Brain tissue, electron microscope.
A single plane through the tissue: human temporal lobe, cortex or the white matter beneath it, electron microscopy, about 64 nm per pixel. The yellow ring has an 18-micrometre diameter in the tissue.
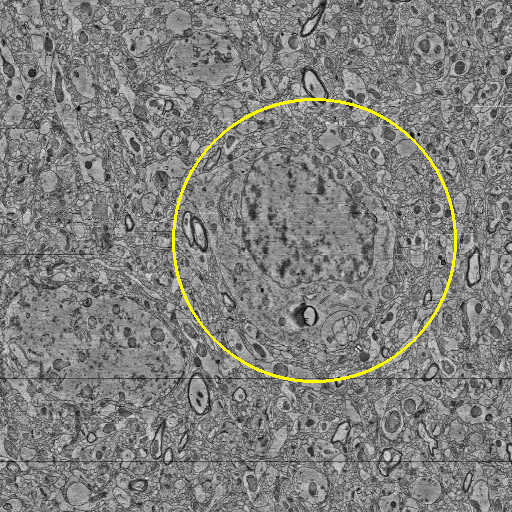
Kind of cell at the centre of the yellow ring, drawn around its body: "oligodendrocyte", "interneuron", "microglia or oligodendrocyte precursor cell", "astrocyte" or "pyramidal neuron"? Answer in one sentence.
The ring's centre falls on an interneuron.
